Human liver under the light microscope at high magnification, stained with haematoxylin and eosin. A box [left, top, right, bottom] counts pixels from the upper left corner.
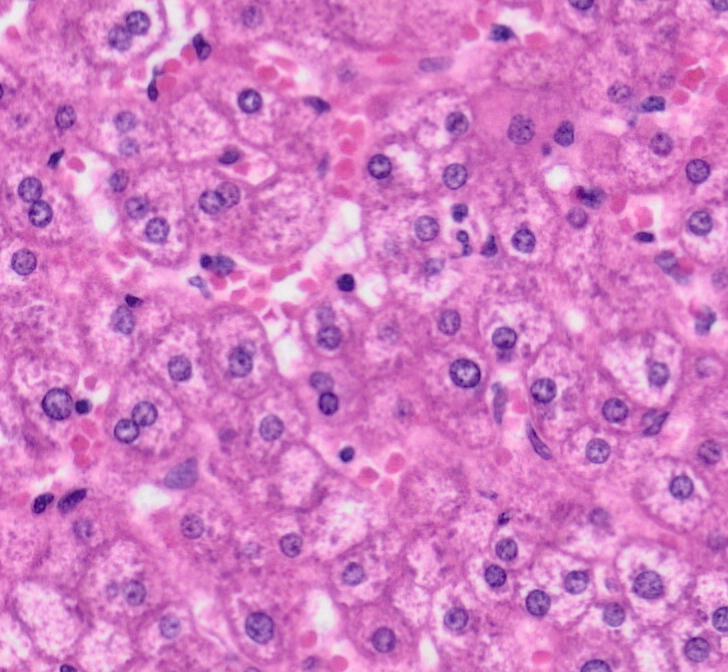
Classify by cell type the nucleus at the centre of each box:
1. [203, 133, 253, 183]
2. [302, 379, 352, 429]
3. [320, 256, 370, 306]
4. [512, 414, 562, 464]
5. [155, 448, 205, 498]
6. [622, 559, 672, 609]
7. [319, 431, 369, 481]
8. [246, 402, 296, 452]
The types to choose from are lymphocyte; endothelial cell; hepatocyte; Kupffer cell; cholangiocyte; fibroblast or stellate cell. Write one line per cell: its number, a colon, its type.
1: Kupffer cell
2: hepatocyte
3: lymphocyte
4: Kupffer cell
5: Kupffer cell
6: hepatocyte
7: lymphocyte
8: hepatocyte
